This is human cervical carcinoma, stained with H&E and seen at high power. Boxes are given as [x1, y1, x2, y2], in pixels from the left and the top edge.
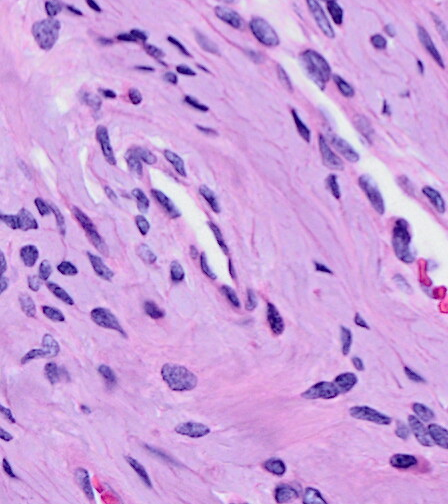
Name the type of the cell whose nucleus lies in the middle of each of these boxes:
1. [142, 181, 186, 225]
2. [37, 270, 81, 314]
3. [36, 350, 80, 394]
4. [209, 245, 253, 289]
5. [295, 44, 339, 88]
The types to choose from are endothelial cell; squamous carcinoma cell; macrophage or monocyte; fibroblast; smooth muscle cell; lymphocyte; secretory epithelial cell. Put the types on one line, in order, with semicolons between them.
endothelial cell; fibroblast; fibroblast; endothelial cell; endothelial cell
